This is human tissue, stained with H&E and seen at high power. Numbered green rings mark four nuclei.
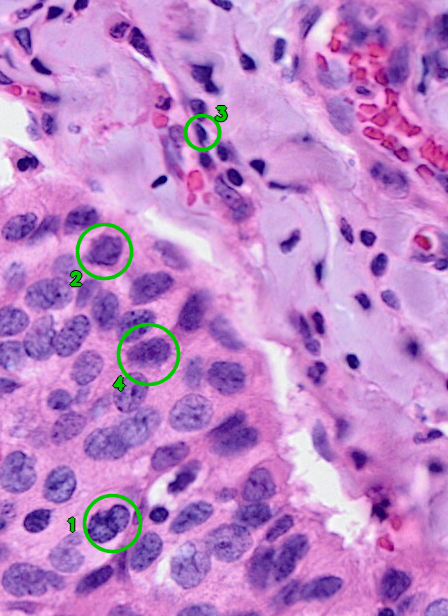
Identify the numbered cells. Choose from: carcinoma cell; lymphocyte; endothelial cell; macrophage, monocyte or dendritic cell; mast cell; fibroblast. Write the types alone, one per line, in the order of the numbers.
carcinoma cell
carcinoma cell
lymphocyte
carcinoma cell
